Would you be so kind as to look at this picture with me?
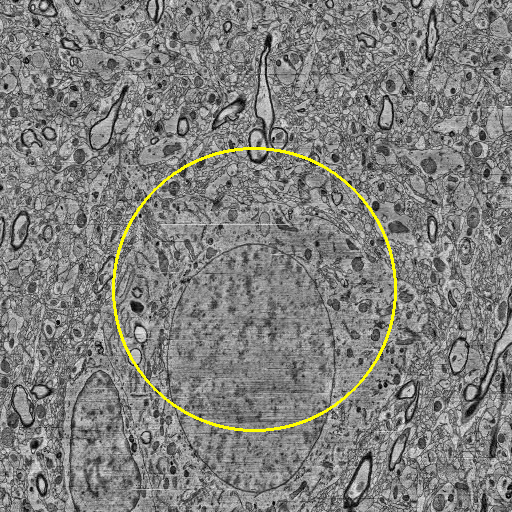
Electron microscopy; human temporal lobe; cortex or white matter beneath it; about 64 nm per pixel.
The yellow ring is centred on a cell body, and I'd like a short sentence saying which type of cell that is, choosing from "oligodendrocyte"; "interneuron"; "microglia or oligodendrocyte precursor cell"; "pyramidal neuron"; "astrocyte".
The cell body in the ring belongs to a pyramidal neuron.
